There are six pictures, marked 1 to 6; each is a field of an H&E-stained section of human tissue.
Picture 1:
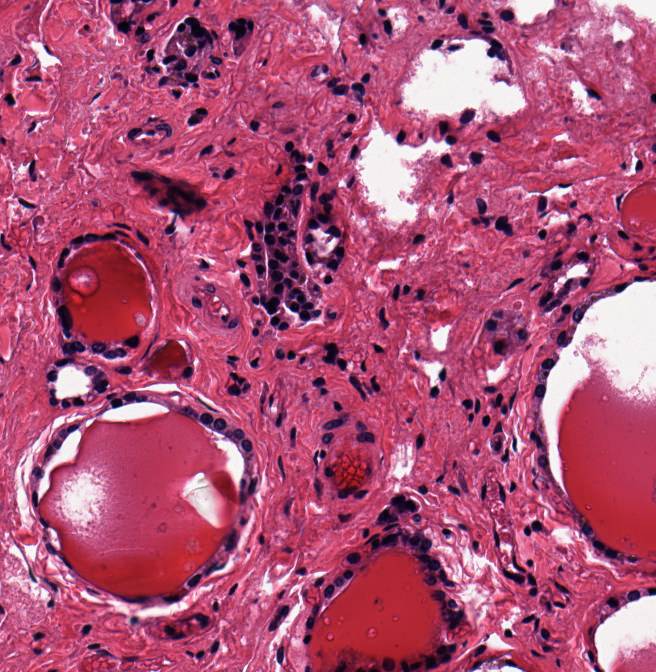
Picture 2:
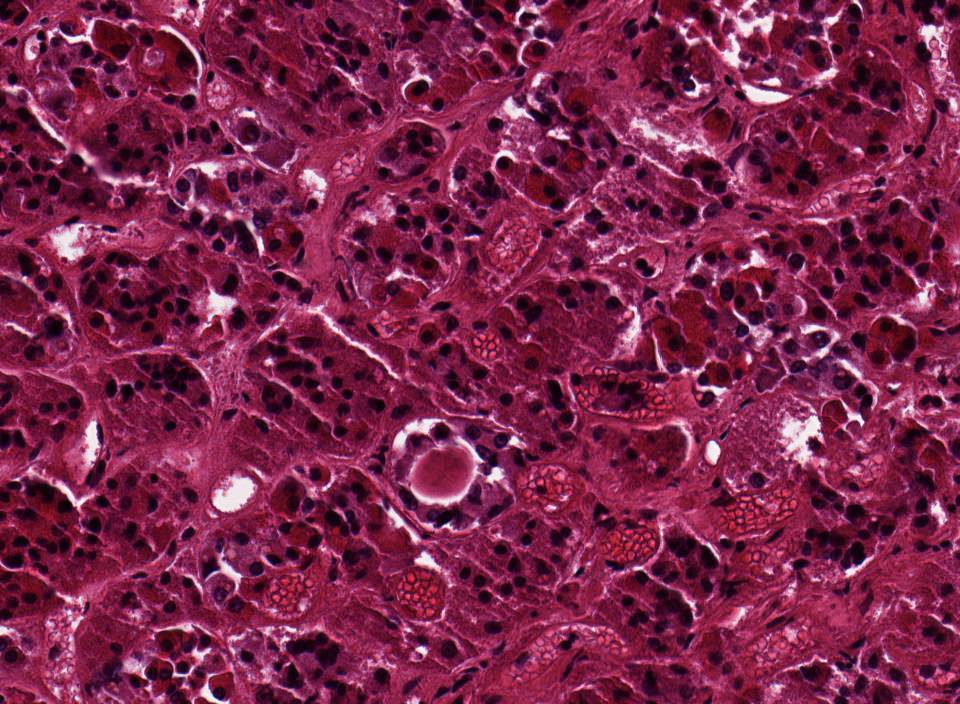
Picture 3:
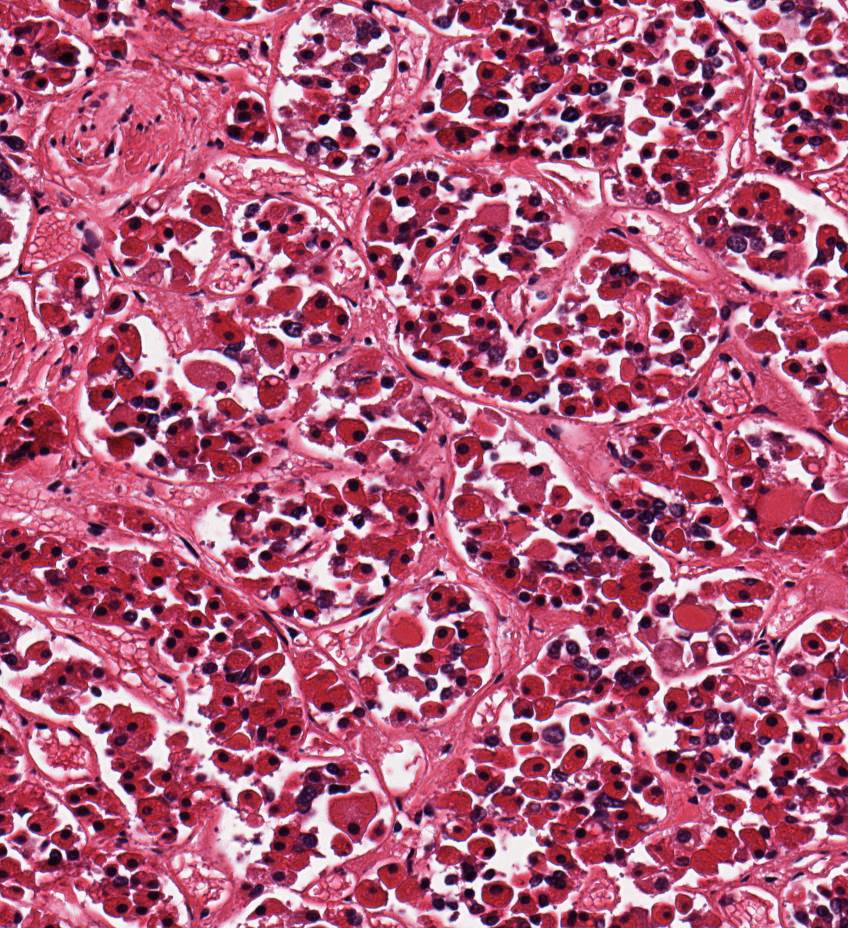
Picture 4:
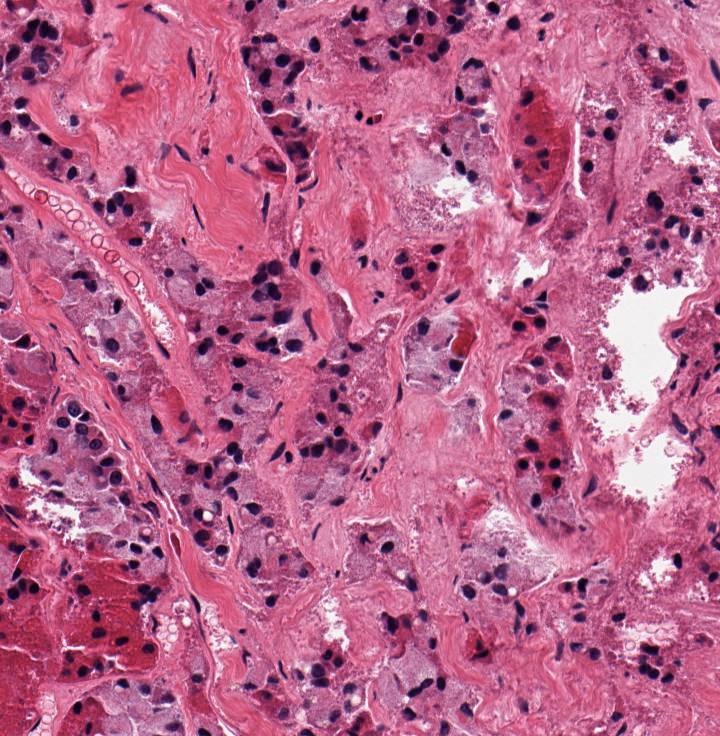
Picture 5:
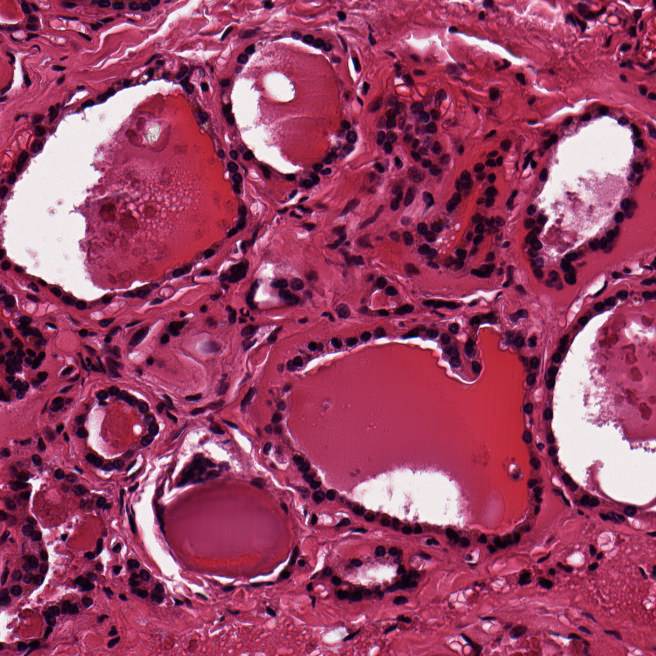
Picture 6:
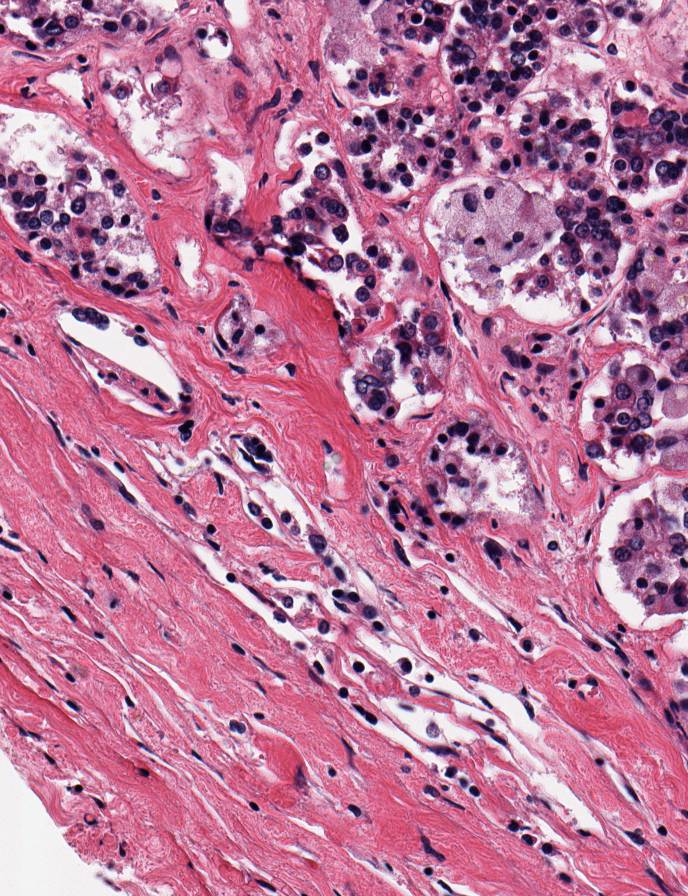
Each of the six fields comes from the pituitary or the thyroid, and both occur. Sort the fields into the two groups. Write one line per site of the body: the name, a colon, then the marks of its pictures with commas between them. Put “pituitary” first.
pituitary: 2, 3, 4, 6
thyroid: 1, 5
